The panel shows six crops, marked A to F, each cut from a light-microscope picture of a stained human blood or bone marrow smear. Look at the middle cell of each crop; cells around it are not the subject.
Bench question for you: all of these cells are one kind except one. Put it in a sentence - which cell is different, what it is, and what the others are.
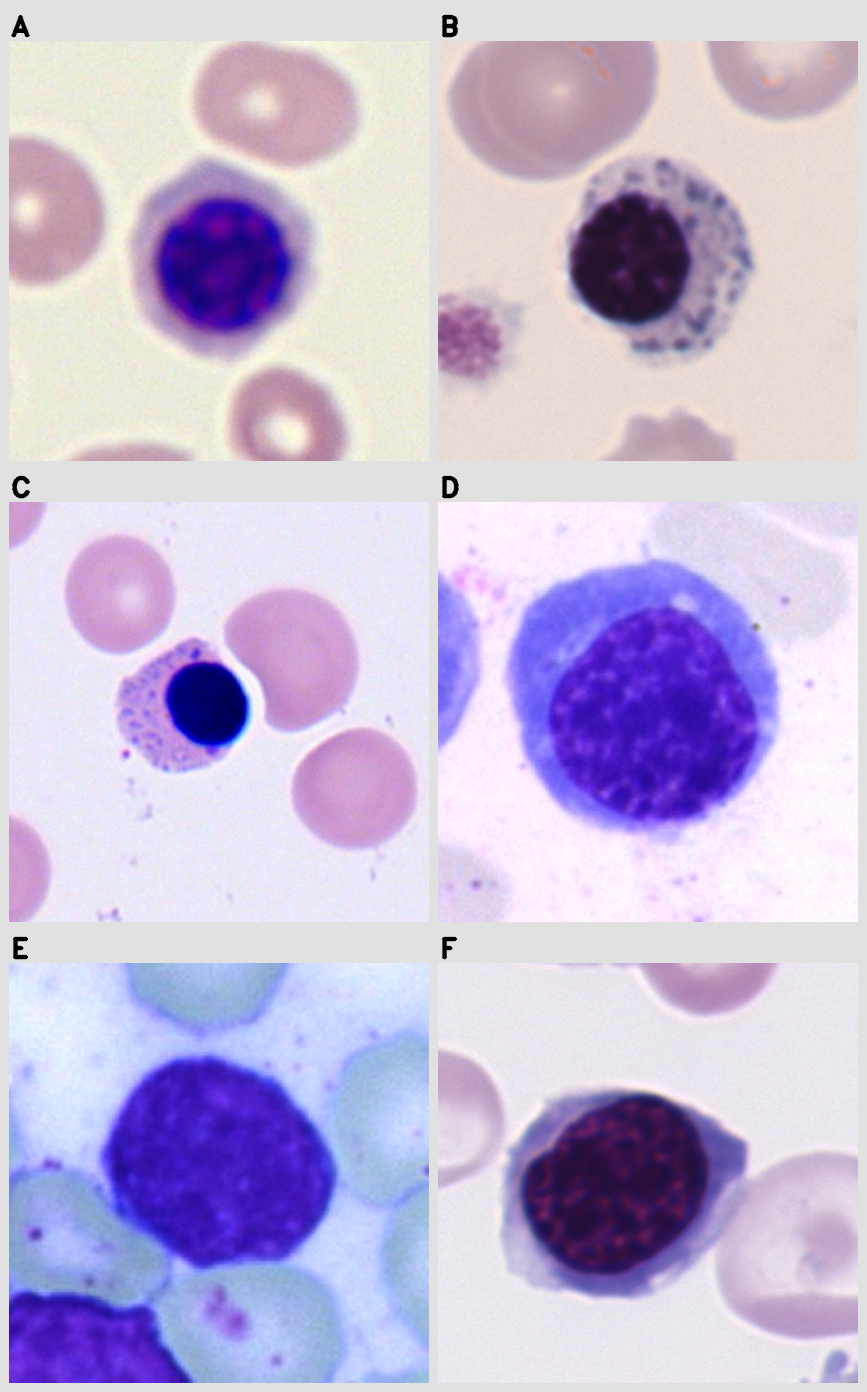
Crop E, showing a lymphocyte, is the exception; the others all show erythroblasts.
